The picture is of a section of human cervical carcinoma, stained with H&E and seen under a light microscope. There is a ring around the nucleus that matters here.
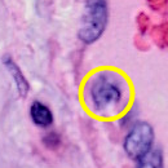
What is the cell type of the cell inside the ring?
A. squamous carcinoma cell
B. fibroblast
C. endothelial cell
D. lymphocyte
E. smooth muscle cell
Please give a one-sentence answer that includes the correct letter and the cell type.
It is option C that correctly calls the cell inside the ring an endothelial cell.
